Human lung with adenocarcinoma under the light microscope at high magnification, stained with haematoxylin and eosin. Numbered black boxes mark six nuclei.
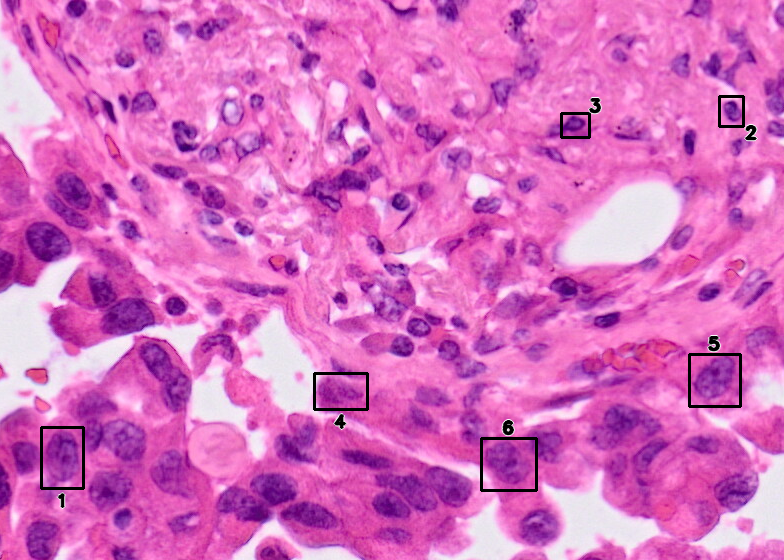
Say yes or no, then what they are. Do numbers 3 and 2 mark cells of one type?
No, the proper labels are a plasma cell for cell 3 and a lymphocyte for cell 2.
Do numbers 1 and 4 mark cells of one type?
Yes, cell 1 is counted among the carcinoma cells, as is cell 4.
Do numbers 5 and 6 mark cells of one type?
Yes, cells 5 and 6 are both to be classed as carcinoma cells.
